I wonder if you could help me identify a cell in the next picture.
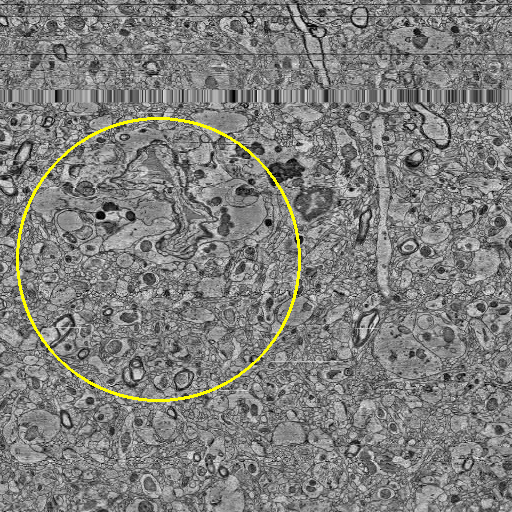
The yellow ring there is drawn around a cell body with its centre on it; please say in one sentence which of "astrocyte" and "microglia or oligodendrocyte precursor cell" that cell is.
The yellow ring is centred on a microglial cell or oligodendrocyte precursor cell.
